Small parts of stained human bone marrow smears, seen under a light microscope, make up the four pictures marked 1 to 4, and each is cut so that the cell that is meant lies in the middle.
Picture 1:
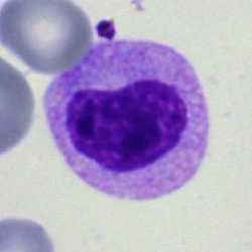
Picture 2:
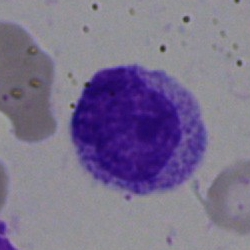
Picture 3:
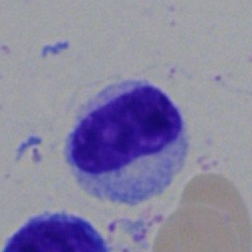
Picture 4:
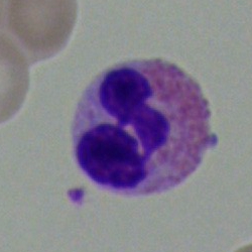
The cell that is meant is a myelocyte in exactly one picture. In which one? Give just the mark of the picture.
2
